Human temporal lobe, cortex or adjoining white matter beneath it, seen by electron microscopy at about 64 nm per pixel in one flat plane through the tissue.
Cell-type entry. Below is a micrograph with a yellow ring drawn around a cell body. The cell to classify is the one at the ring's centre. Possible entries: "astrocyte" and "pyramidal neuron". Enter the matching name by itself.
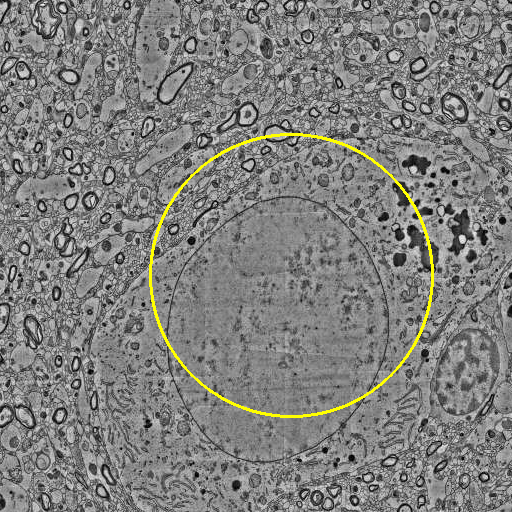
pyramidal neuron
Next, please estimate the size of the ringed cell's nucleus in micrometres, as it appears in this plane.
In this plane, approximately 17 by 14 micrometers.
